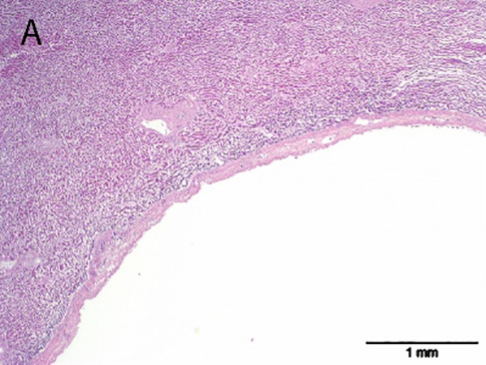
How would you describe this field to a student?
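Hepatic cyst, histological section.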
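The lumen fills the lower right and is lined by a thin, pale pink layer. The surrounding wall is densely cellular, with many small purple nuclei in a pink matrix. Toward the upper right, the tissue runs in strands more or less parallel to the edge of the cavity.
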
